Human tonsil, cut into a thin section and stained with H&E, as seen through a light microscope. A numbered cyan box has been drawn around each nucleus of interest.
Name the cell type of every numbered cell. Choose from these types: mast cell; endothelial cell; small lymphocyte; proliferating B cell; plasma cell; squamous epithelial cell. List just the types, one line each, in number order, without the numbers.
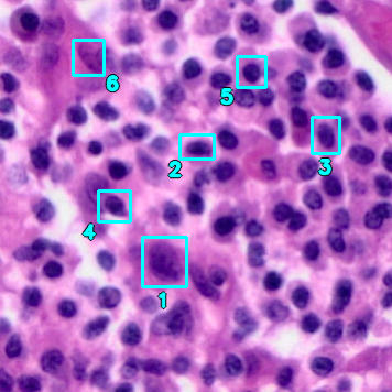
squamous epithelial cell
plasma cell
plasma cell
squamous epithelial cell
plasma cell
squamous epithelial cell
